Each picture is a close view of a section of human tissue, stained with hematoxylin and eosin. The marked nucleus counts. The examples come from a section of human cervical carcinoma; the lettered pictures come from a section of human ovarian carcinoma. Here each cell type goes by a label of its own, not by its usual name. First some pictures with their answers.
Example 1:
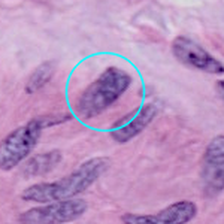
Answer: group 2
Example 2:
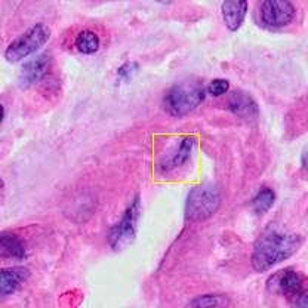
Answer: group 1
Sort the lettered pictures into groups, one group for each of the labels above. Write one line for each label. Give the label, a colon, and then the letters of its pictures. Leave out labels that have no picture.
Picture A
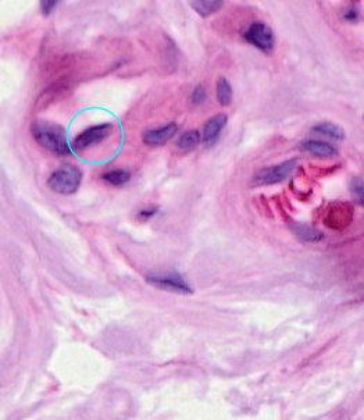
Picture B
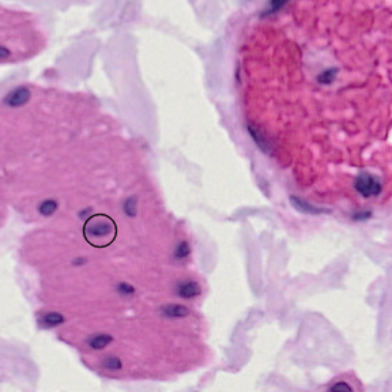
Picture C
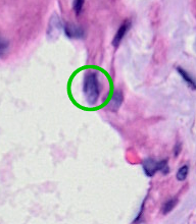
group 2: B
group 1: A, C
